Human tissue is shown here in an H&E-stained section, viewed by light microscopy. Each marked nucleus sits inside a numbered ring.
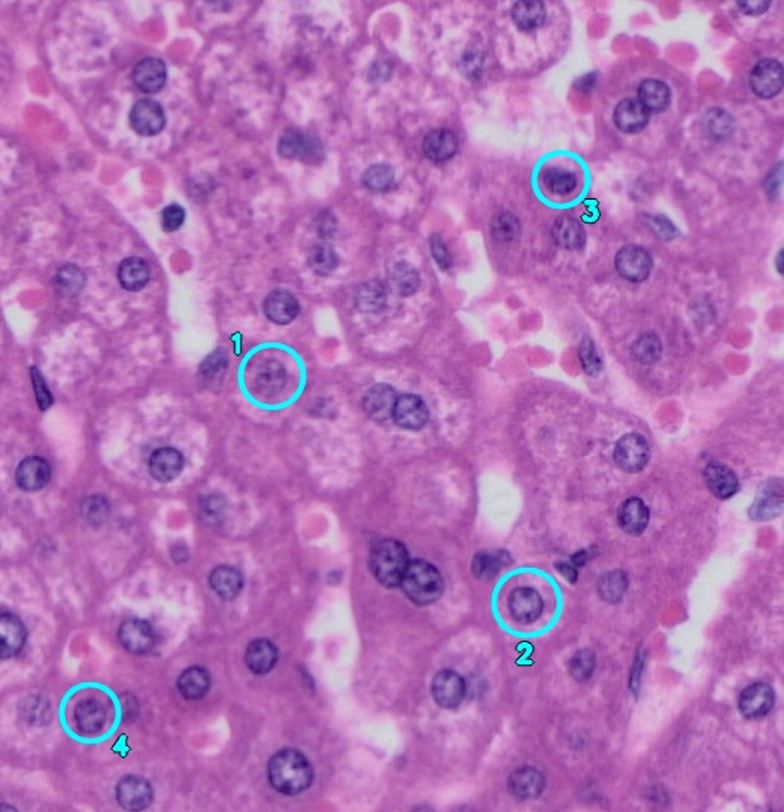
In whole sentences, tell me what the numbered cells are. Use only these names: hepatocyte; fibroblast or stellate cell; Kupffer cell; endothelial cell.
Cell 1 is a hepatocyte, cell 2 is a hepatocyte, cell 3 is a fibroblast or stellate cell and cell 4 is a hepatocyte.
